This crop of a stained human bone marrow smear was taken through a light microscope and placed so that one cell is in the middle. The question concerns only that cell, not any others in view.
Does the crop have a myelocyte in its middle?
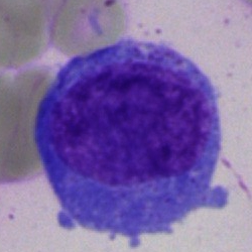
no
